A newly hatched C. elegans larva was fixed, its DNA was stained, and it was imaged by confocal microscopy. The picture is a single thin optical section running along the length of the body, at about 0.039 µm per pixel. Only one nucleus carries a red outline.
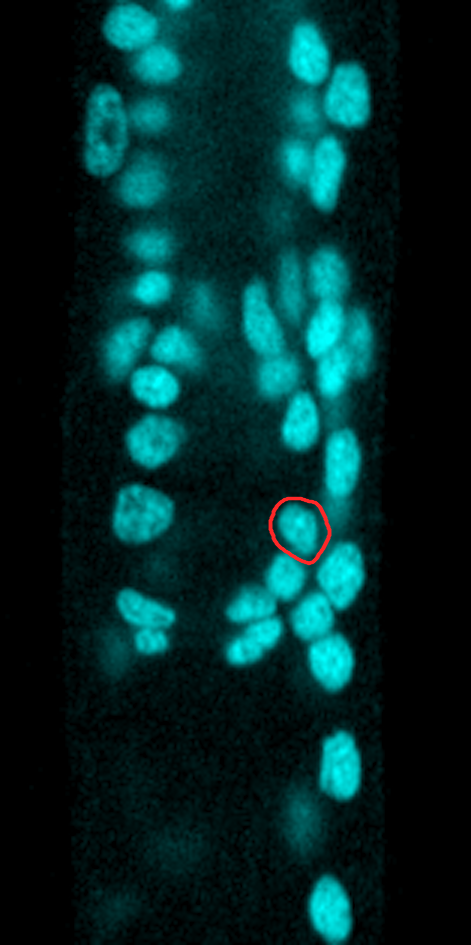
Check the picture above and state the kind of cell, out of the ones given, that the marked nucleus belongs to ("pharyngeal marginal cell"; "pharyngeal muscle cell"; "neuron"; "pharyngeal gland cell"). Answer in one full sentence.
This nucleus is from a pharyngeal marginal cell.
